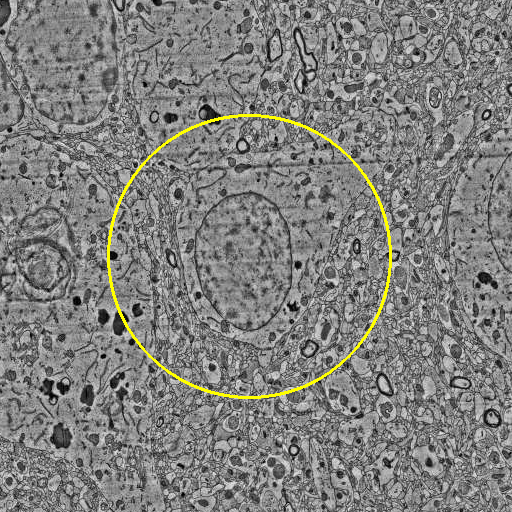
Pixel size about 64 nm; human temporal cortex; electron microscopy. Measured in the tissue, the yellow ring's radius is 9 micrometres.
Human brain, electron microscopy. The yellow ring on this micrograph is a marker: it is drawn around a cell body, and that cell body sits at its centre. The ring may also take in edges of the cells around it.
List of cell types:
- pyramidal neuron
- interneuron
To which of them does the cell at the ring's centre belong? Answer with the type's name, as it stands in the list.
pyramidal neuron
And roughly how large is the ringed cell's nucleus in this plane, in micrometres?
About 9 micrometres by about 6 micrometres in this plane.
